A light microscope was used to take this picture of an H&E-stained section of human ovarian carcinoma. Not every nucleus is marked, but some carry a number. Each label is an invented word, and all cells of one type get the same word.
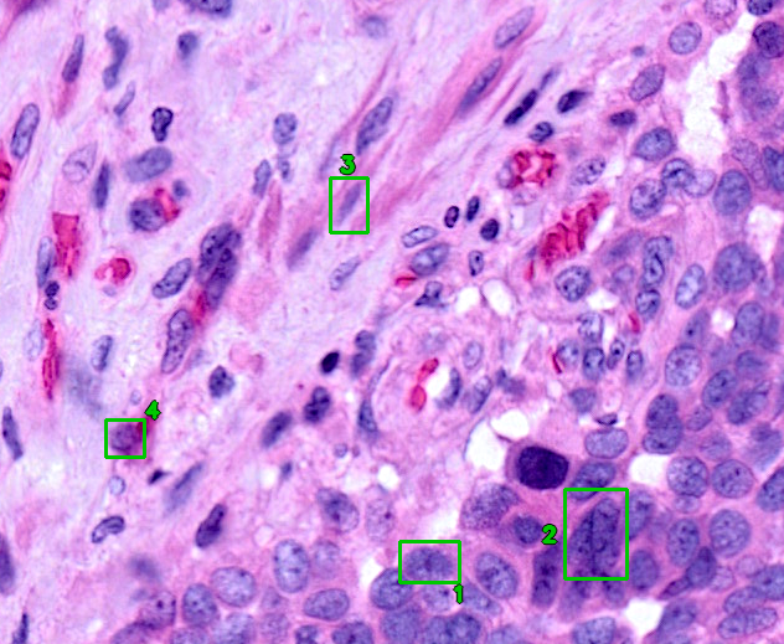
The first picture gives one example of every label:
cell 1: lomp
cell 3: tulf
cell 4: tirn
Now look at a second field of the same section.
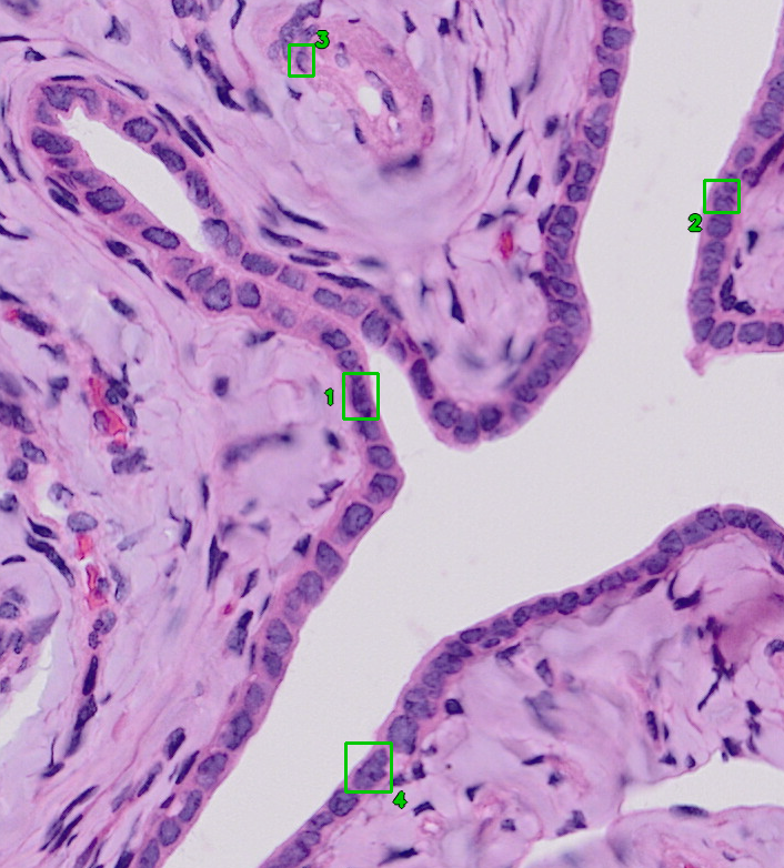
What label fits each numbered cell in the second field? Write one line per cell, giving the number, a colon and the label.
1: lomp
2: lomp
3: tulf
4: lomp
